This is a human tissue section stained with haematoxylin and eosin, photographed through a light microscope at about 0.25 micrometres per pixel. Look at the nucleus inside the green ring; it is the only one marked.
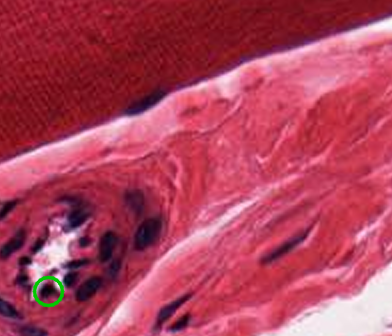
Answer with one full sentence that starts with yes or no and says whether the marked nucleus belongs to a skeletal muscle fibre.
No, a skeletal muscle fibre is not the cell of the marked nucleus; a supporting cell is.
